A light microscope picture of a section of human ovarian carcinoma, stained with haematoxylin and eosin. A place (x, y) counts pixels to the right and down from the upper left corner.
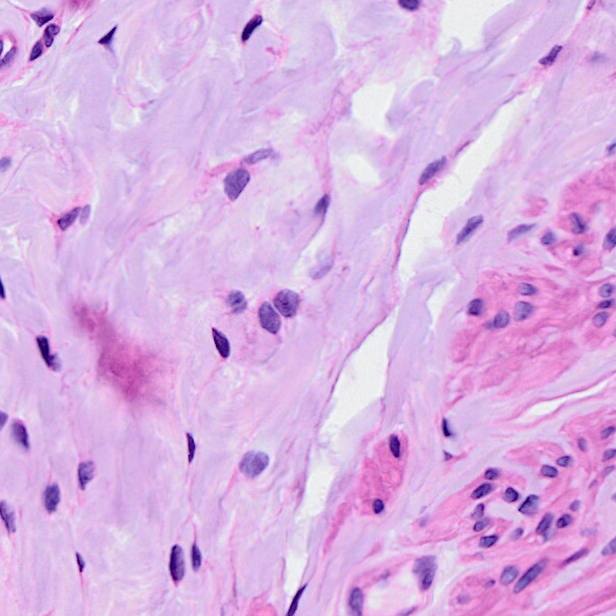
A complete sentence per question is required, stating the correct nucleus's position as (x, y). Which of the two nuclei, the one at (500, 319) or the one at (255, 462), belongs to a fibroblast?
Among the two nuclei, the one found at (255, 462) belongs to a fibroblast.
